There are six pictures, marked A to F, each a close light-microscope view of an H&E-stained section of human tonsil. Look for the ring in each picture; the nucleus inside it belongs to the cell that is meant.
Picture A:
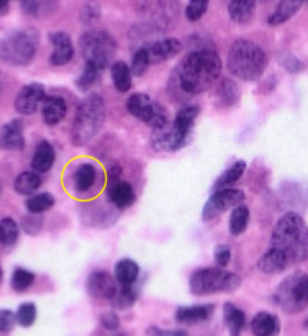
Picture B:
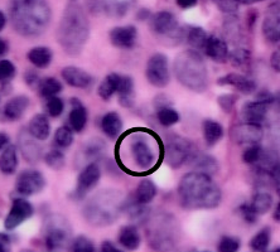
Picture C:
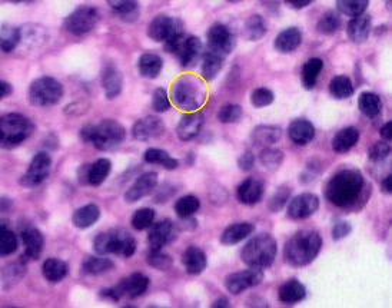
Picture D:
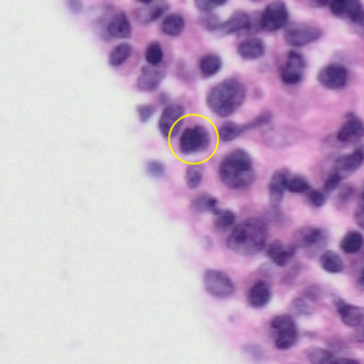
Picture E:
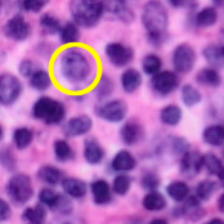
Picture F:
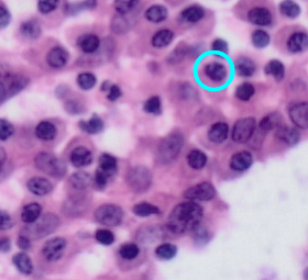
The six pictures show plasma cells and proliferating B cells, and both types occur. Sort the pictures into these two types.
A: plasma cell
B: proliferating B cell
C: proliferating B cell
D: proliferating B cell
E: proliferating B cell
F: plasma cell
